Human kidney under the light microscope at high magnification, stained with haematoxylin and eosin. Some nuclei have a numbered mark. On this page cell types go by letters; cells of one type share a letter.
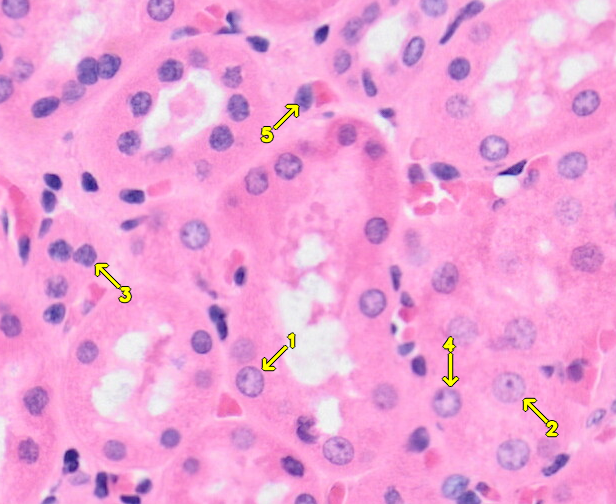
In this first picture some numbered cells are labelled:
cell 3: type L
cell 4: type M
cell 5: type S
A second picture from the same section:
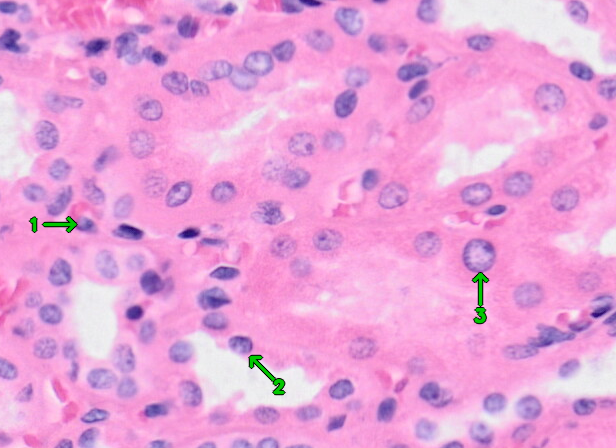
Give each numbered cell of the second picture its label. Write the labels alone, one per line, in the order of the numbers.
type S
type L
type M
